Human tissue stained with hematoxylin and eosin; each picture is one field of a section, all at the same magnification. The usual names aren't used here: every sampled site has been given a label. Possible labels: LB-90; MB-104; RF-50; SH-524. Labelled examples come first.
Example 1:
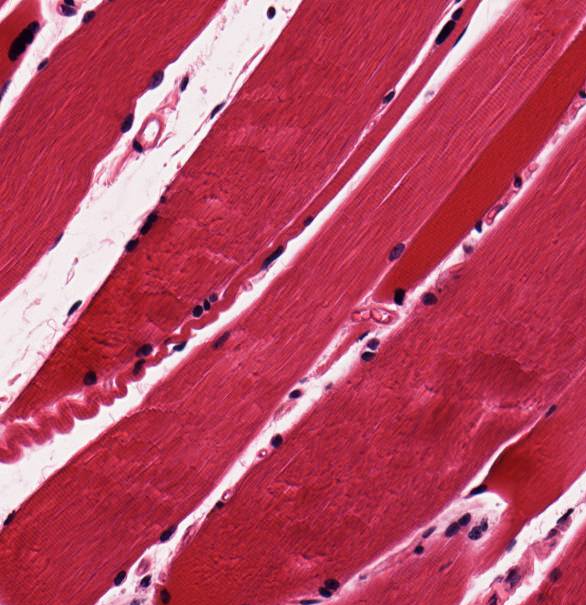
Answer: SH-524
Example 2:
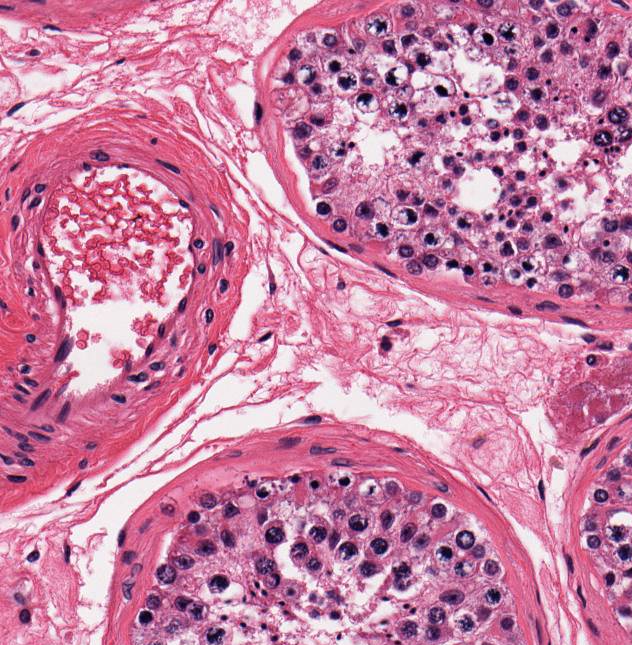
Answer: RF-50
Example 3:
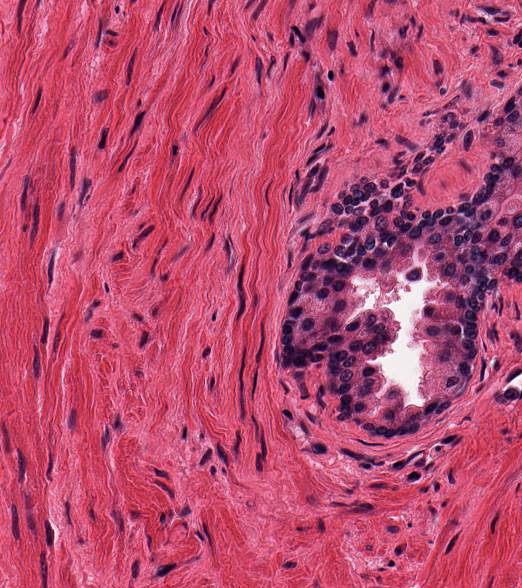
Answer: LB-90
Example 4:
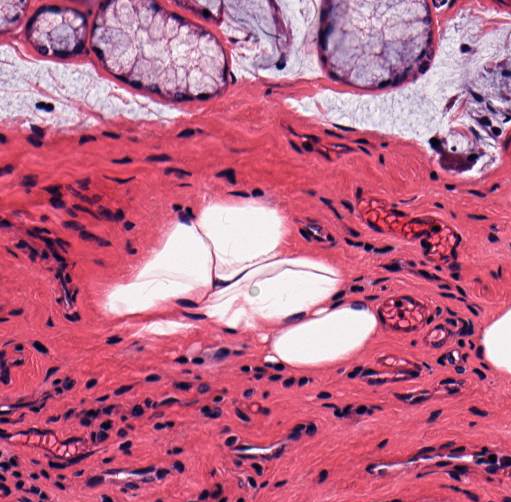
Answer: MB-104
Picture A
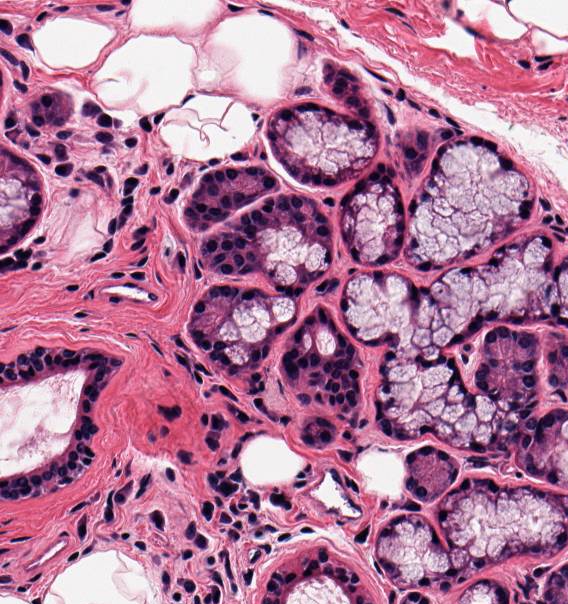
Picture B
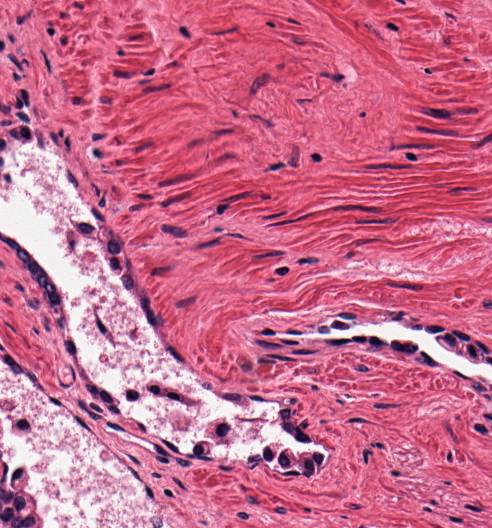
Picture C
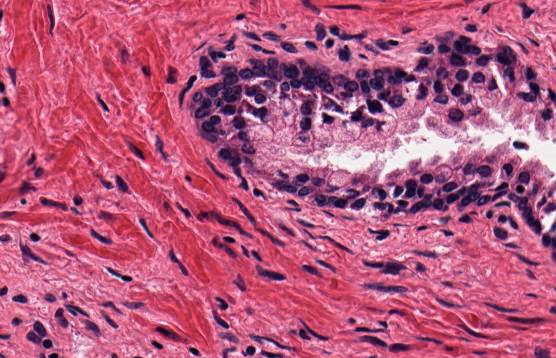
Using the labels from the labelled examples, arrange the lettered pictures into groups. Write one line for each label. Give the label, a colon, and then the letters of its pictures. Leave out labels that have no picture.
LB-90: B, C
MB-104: A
